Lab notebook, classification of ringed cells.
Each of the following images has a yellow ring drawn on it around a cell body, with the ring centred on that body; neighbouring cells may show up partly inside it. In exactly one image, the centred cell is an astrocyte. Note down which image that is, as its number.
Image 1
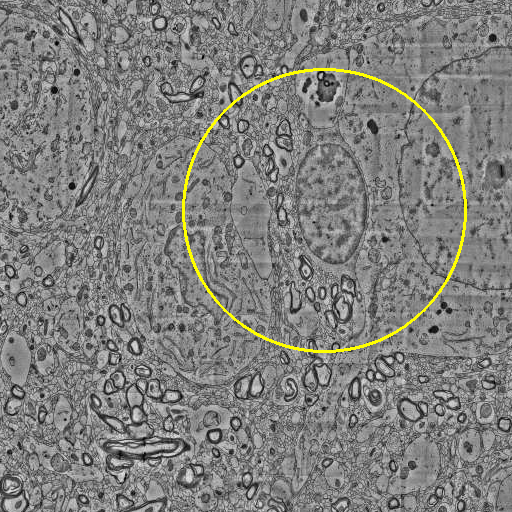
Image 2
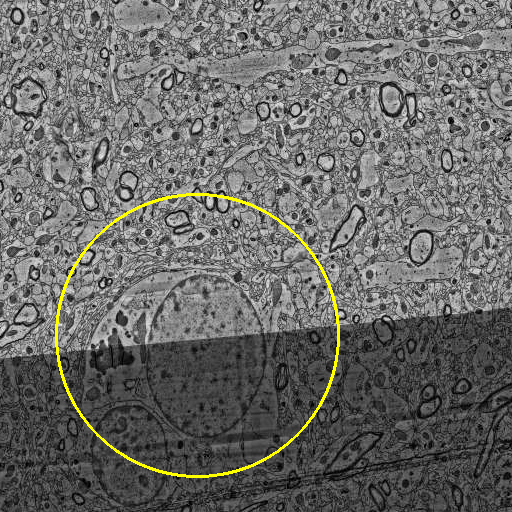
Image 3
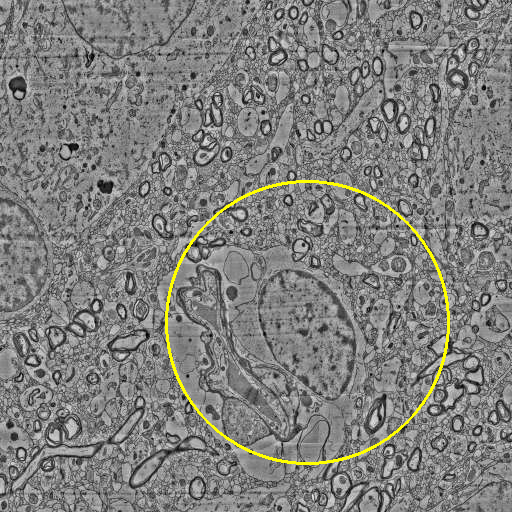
2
